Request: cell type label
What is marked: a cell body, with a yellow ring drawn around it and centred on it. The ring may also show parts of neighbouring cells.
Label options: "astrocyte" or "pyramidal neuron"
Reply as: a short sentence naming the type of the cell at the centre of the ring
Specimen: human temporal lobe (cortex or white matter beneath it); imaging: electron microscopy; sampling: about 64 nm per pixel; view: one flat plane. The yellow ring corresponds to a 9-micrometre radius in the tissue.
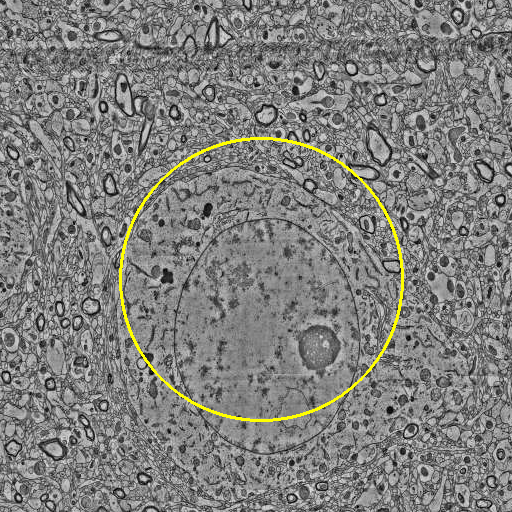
The marked cell body is that of a pyramidal neuron.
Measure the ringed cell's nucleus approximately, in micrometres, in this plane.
In this plane the nucleus spans approximately 15 by 12 micrometers.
